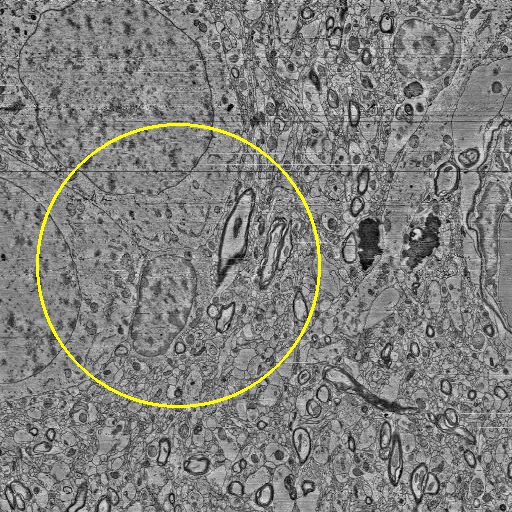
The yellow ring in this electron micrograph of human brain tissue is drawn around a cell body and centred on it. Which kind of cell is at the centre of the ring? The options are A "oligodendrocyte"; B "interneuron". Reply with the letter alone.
A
